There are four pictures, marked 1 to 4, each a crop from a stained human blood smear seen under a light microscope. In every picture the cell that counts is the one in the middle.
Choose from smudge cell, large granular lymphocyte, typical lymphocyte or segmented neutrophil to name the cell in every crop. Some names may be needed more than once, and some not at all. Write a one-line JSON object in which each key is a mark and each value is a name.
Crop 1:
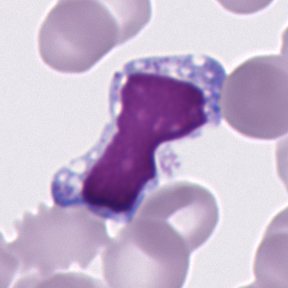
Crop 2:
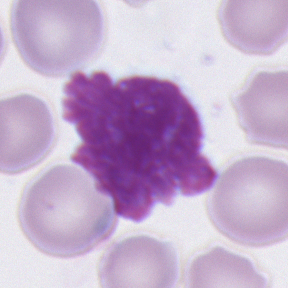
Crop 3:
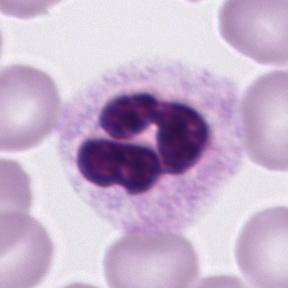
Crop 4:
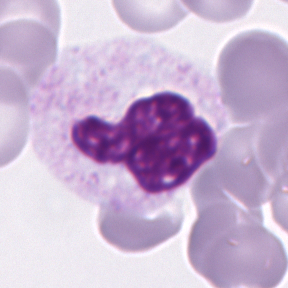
{"1": "typical lymphocyte", "2": "smudge cell", "3": "segmented neutrophil", "4": "segmented neutrophil"}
